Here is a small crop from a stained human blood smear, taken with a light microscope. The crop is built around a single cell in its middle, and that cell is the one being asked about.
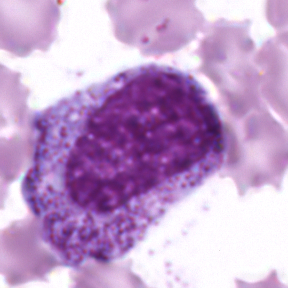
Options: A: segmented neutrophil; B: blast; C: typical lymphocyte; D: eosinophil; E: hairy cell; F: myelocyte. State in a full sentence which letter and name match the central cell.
Option F is accurate; the centrally placed cell is a myelocyte.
